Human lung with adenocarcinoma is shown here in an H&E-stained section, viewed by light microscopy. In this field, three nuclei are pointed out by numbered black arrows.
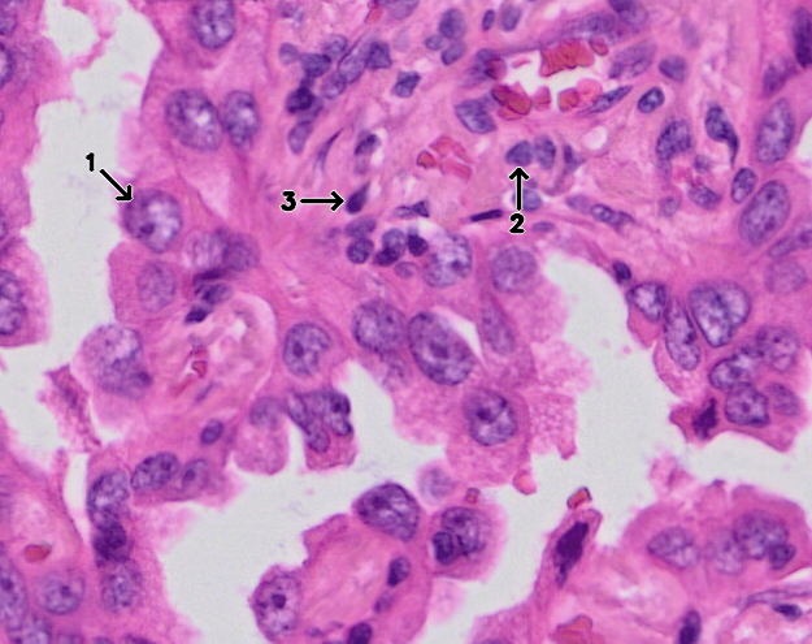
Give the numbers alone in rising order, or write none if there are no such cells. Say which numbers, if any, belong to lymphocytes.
2, 3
